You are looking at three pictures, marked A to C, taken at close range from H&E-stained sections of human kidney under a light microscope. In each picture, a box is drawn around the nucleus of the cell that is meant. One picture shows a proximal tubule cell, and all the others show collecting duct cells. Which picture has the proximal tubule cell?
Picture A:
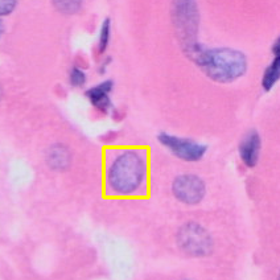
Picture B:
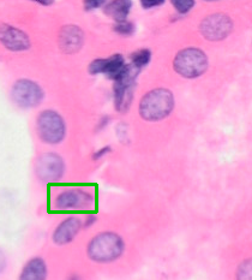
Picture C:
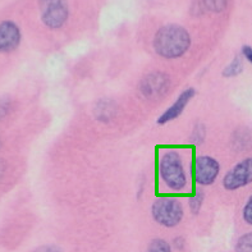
A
